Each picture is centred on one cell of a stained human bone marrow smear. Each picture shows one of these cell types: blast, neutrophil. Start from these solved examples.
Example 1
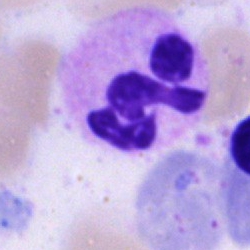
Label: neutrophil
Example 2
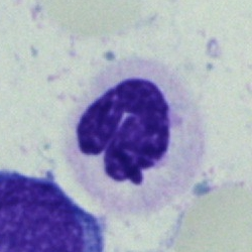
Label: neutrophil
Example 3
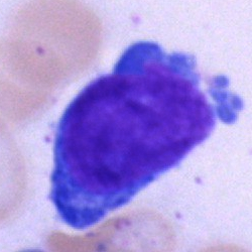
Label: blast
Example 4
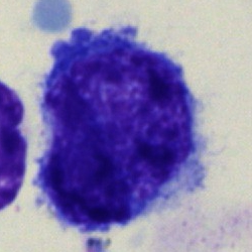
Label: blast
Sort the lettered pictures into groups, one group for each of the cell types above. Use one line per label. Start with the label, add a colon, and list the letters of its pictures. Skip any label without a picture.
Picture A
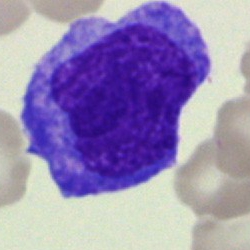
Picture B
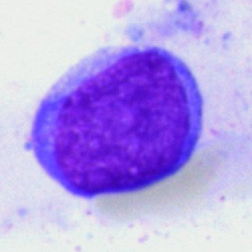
blast: A, B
